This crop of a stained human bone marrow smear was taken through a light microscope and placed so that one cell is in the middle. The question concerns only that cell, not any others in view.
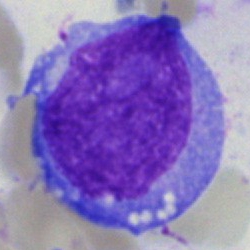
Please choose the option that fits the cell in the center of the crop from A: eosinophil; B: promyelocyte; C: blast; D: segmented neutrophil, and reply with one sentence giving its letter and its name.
Option C correctly states that the central cell is a blast.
